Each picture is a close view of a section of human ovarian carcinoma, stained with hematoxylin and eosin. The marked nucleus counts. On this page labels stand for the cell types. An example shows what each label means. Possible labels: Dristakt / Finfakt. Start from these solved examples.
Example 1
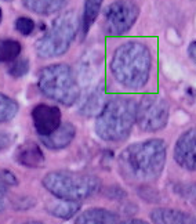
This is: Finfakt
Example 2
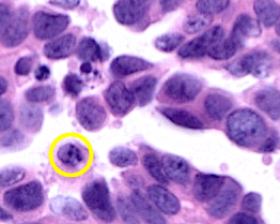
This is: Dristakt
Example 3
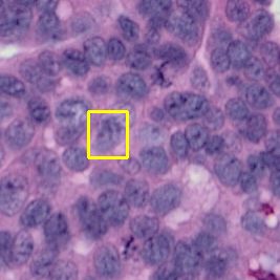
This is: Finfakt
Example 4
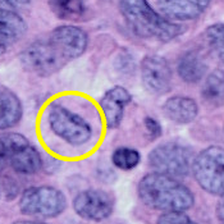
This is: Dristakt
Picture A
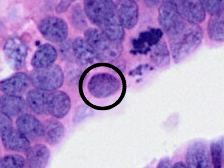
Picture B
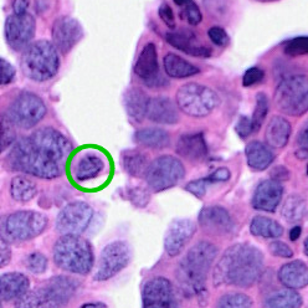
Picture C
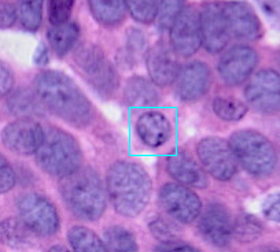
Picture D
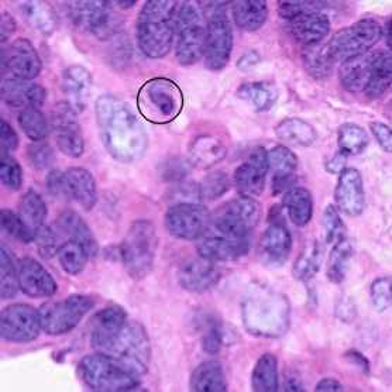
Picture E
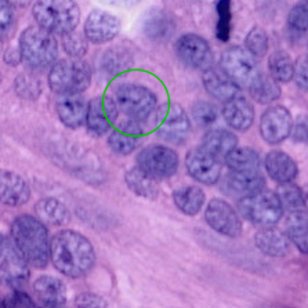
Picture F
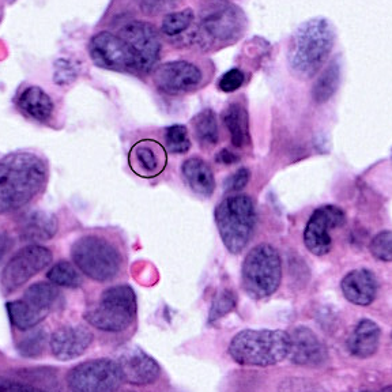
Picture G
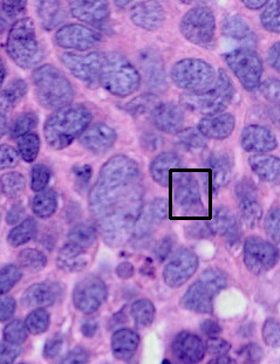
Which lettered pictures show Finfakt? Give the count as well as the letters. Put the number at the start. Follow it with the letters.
3: A, E, G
